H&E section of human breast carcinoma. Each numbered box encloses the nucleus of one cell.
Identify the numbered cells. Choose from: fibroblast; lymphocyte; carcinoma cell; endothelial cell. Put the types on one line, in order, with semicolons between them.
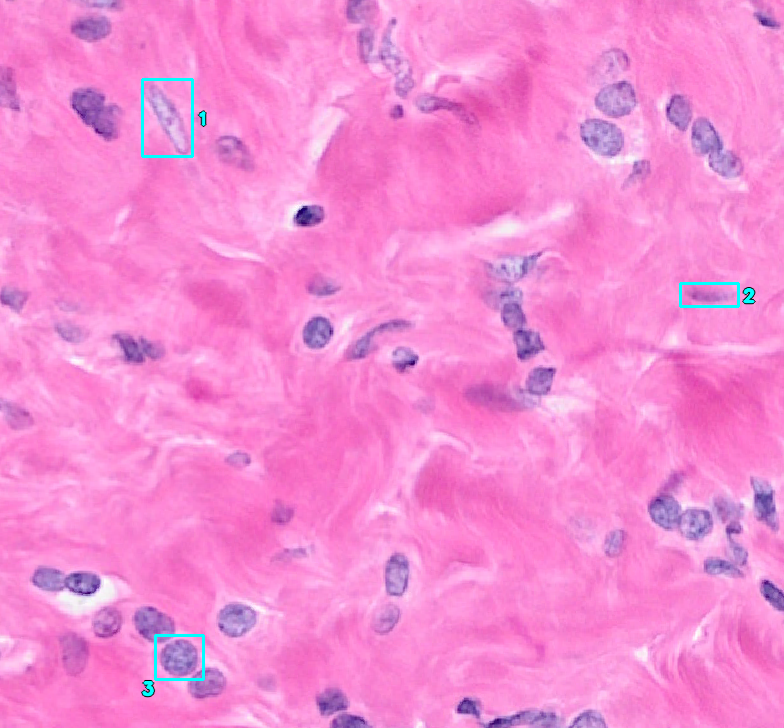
fibroblast; fibroblast; carcinoma cell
